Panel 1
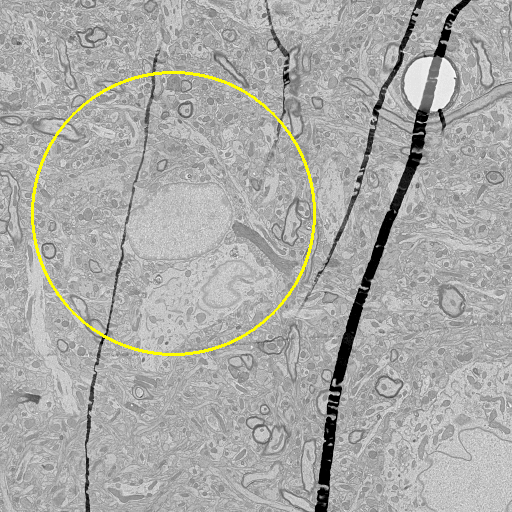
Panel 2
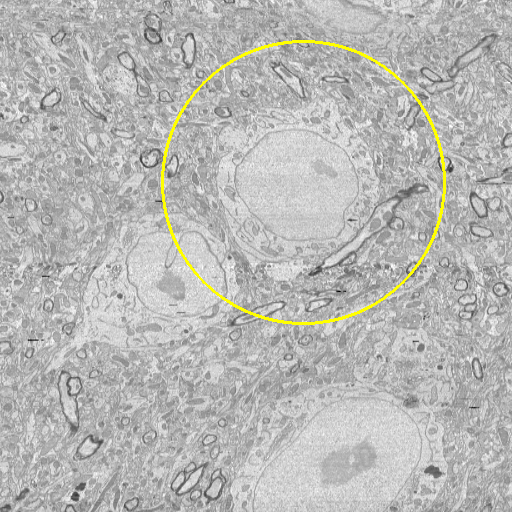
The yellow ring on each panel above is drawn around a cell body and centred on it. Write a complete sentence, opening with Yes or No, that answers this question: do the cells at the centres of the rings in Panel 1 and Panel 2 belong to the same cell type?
No, the two cells belong to two cell types.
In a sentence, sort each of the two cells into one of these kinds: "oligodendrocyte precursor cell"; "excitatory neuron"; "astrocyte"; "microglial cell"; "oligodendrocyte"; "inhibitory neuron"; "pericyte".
The first of the two cells is an astrocyte, and the second is an excitatory neuron.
